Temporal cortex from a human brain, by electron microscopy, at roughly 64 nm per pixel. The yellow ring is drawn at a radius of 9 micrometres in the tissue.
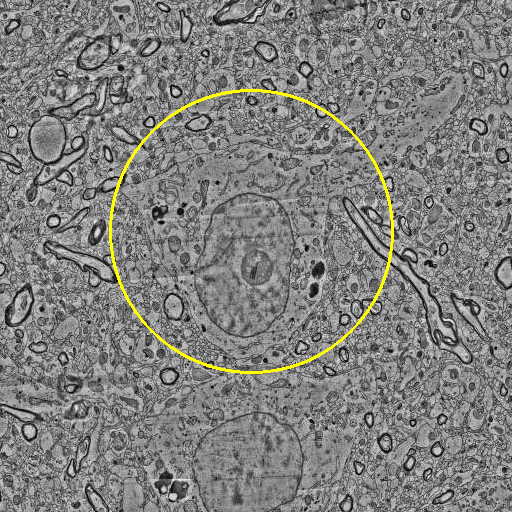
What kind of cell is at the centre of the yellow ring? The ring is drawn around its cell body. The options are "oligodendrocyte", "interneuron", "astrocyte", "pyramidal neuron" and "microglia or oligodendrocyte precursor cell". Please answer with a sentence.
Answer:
The yellow ring marks the cell body of a pyramidal neuron.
